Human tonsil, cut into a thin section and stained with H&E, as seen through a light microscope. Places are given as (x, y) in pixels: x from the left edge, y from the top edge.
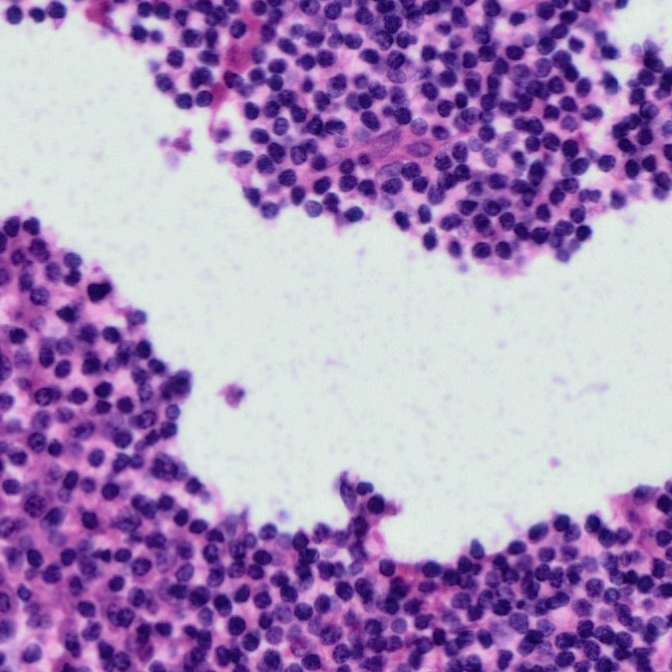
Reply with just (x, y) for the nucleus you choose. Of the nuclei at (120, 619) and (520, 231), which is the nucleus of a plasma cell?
(120, 619)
